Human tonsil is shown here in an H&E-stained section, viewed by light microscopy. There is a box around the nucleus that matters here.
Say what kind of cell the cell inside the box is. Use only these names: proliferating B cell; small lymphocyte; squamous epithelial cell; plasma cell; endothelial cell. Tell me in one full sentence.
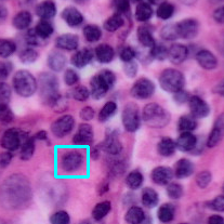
In the tissue under study, the cell inside the box is an endothelial cell.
